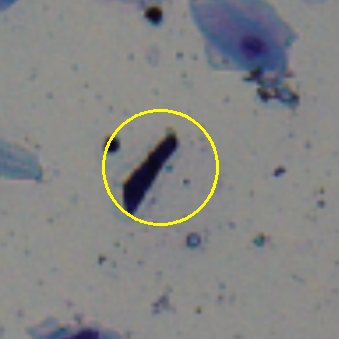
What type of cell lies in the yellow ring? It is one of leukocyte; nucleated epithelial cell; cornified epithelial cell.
The ringed cell is a cornified epithelial cell.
